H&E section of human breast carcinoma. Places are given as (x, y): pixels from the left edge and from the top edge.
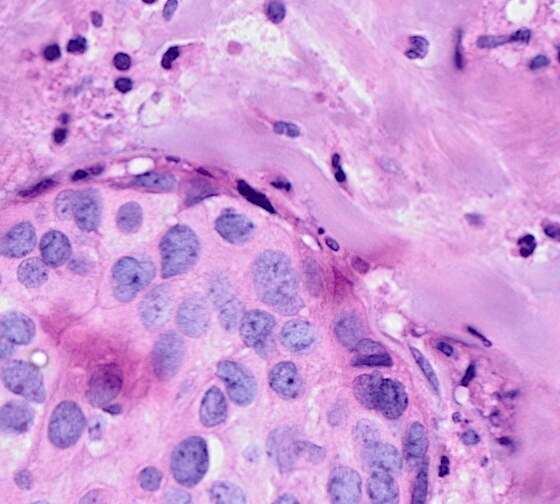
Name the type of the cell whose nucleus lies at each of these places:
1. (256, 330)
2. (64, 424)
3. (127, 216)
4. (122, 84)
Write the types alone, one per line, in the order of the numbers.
carcinoma cell
carcinoma cell
carcinoma cell
lymphocyte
